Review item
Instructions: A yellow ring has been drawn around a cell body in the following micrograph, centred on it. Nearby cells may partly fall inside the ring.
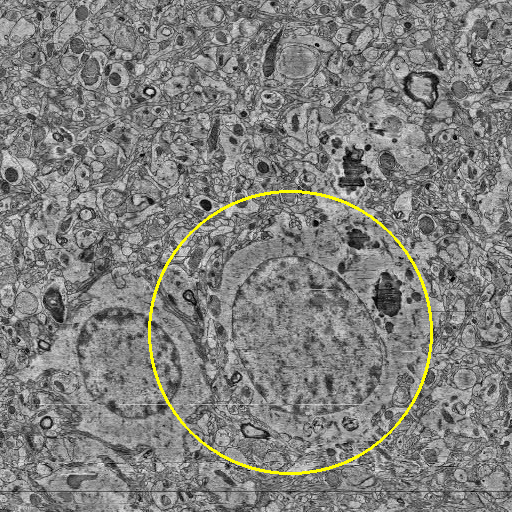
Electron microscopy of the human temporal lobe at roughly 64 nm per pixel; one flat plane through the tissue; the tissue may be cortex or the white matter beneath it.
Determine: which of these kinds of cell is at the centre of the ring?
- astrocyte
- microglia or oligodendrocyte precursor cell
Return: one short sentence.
The cell body in the middle of the ring is that of an astrocyte.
